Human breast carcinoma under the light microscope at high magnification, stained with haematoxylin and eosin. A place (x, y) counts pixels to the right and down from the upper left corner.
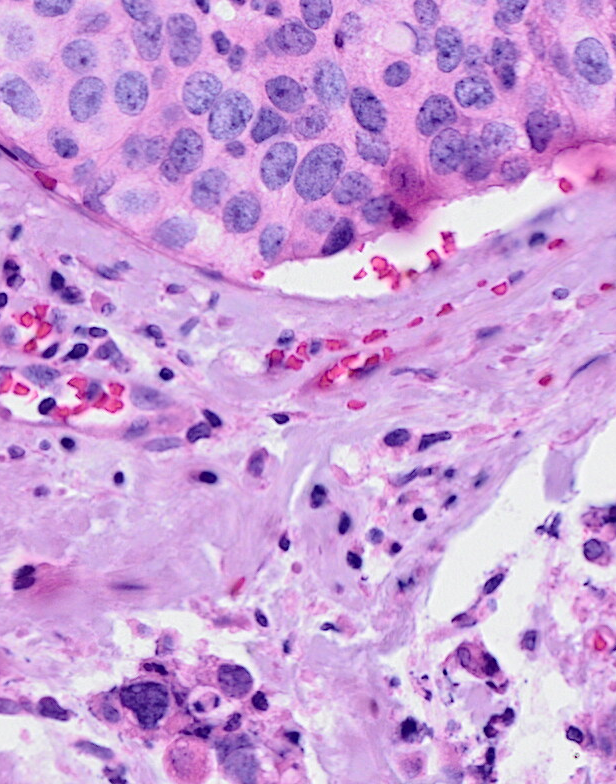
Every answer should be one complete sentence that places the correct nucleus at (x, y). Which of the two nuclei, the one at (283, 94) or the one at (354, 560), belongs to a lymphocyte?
The nucleus of a lymphocyte is the one found at (354, 560), not the other.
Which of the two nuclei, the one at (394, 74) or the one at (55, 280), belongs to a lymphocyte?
The nucleus lying at (55, 280) is the nucleus of a lymphocyte.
